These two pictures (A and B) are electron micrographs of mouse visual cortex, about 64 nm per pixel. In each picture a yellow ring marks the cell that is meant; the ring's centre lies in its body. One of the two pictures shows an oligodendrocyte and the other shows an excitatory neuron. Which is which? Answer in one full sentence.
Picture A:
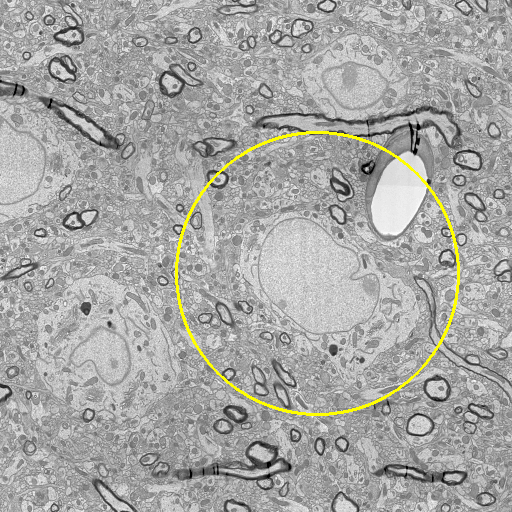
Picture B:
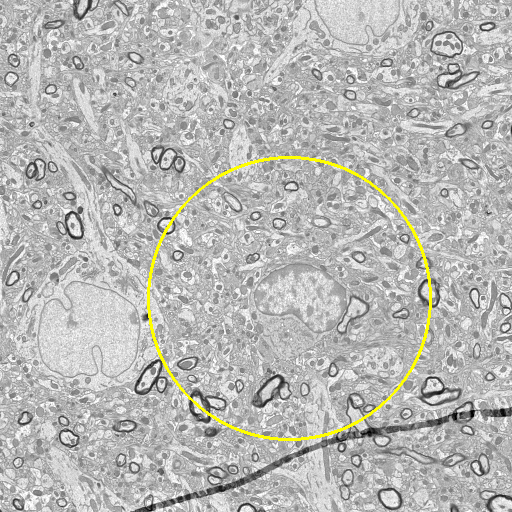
It is picture A that shows an excitatory neuron, and picture B that shows an oligodendrocyte.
